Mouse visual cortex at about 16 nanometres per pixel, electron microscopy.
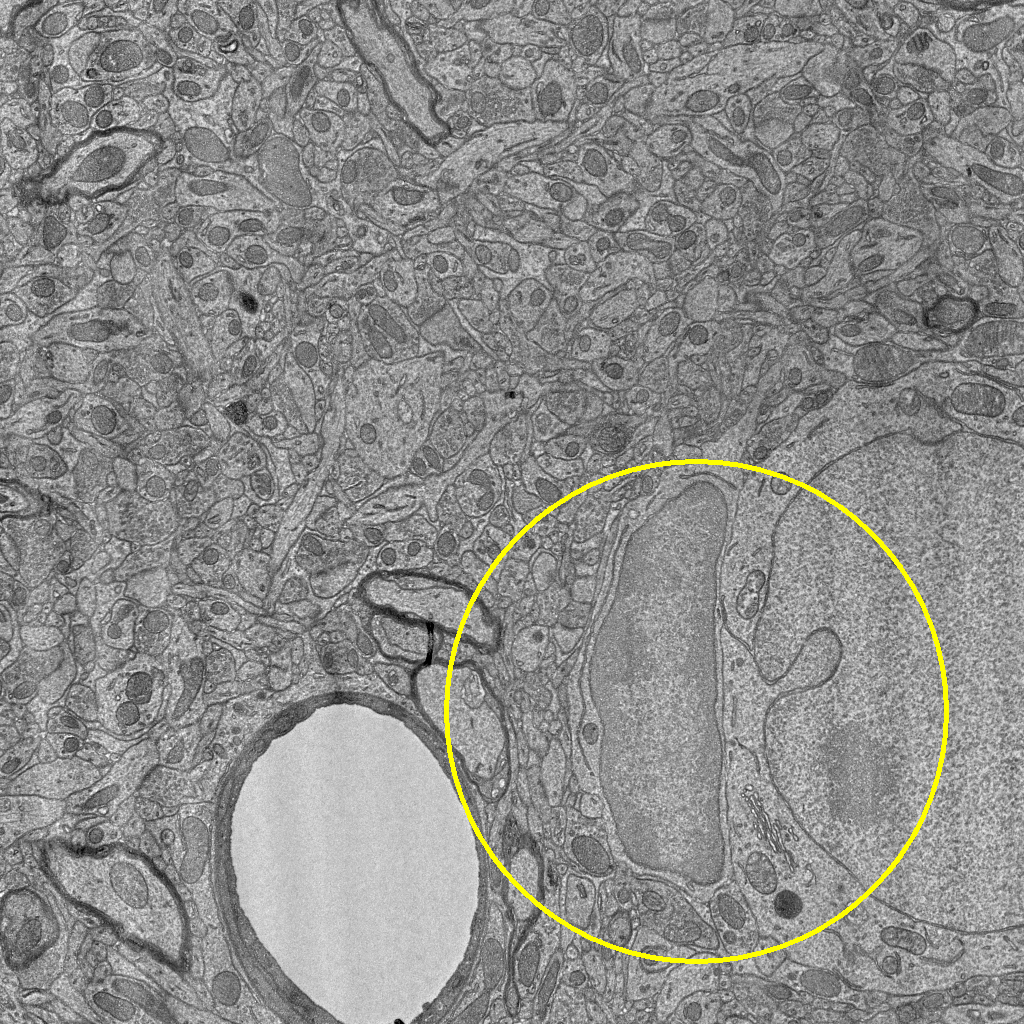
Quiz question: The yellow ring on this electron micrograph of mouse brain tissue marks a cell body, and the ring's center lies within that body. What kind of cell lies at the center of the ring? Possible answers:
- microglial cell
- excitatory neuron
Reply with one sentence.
The ring's center lies on a microglial cell.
